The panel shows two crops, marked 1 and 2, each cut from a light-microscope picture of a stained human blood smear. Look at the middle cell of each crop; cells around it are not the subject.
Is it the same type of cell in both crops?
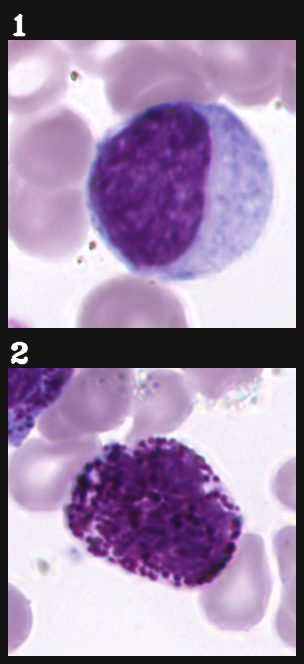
no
